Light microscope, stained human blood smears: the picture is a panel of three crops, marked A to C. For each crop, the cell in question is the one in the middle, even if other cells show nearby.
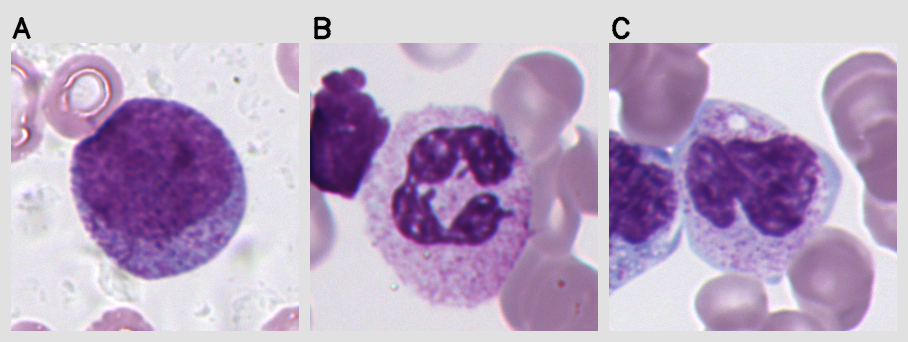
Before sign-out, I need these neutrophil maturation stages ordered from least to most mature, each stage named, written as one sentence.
In order of rising maturity, the sequence is crop A (a promyelocyte), crop C (a band neutrophil) and crop B (a segmented neutrophil).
